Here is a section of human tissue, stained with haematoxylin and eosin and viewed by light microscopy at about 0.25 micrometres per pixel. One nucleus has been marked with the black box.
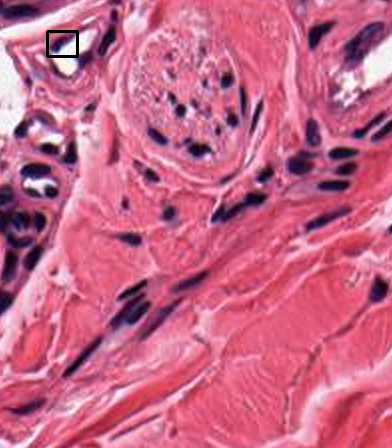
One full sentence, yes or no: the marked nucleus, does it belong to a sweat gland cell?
No, the cell whose nucleus is marked is a supporting cell and not a sweat gland cell.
